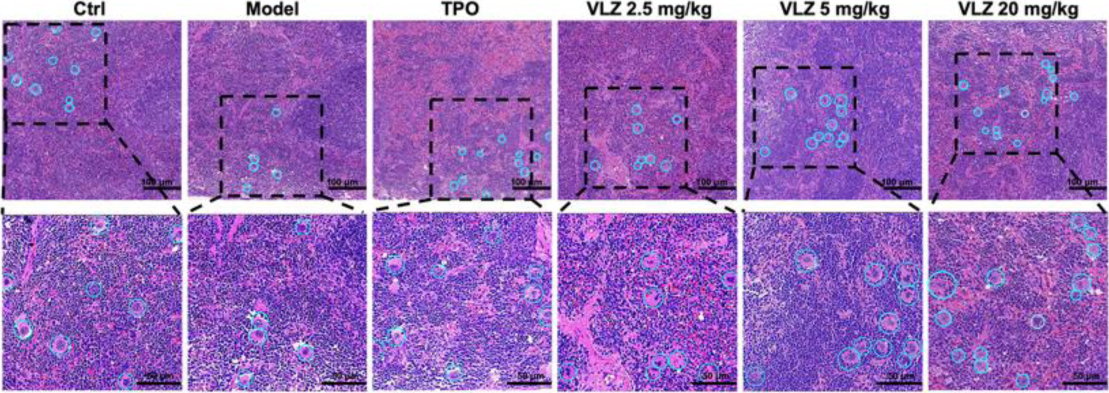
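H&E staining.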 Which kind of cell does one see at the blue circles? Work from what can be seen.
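The circled cells are large compared with the surrounding small dark lymphoid-like cells. The circled cells show pink cytoplasm and large purple nuclei. That points to this answer: megakaryocytes.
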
